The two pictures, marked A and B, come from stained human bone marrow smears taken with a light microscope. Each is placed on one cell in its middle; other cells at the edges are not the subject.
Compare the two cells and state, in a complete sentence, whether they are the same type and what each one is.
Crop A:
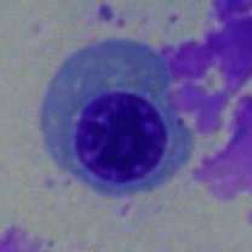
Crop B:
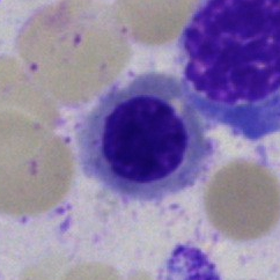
Yes, erythroblasts are seen in both crops.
